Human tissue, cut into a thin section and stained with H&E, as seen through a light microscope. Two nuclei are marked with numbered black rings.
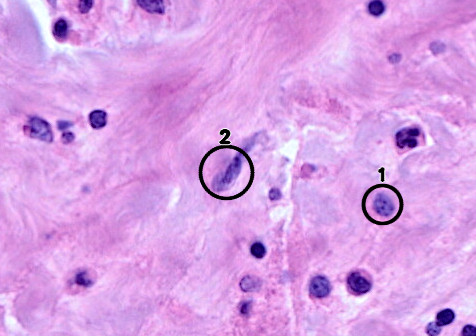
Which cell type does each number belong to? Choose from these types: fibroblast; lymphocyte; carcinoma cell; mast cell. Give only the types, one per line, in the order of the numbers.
mast cell
fibroblast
